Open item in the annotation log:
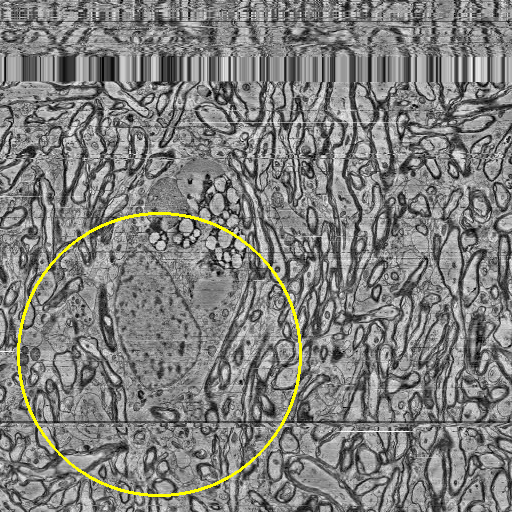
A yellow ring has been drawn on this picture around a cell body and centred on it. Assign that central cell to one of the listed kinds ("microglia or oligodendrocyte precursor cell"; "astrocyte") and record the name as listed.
astrocyte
